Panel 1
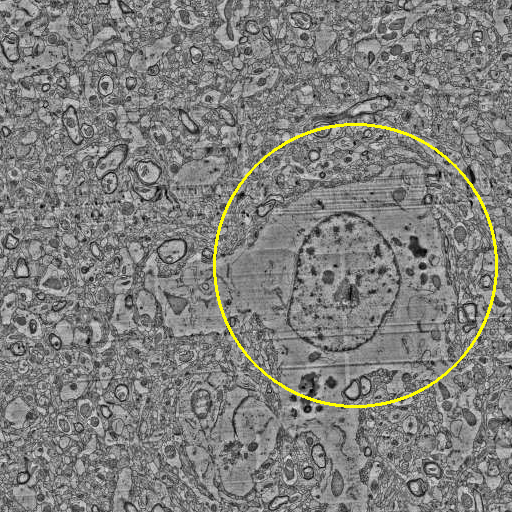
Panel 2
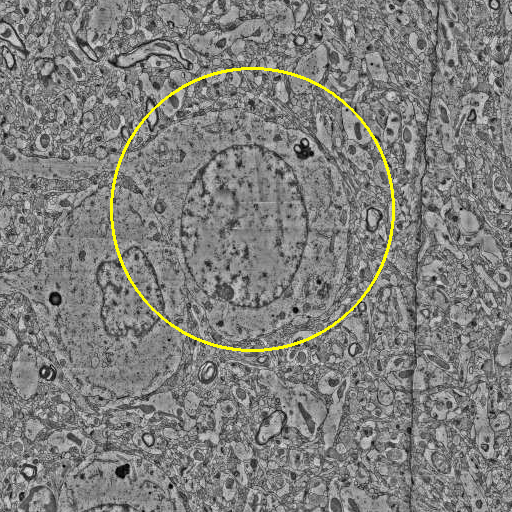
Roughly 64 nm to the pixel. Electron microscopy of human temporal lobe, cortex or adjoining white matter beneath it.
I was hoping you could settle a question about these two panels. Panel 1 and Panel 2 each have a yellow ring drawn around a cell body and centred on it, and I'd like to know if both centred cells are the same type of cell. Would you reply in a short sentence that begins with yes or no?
No, they are two types of cell.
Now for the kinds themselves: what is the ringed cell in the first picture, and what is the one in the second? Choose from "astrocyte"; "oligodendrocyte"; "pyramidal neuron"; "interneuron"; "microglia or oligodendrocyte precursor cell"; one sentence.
Here the first cell is an astrocyte and the second cell is a pyramidal neuron.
